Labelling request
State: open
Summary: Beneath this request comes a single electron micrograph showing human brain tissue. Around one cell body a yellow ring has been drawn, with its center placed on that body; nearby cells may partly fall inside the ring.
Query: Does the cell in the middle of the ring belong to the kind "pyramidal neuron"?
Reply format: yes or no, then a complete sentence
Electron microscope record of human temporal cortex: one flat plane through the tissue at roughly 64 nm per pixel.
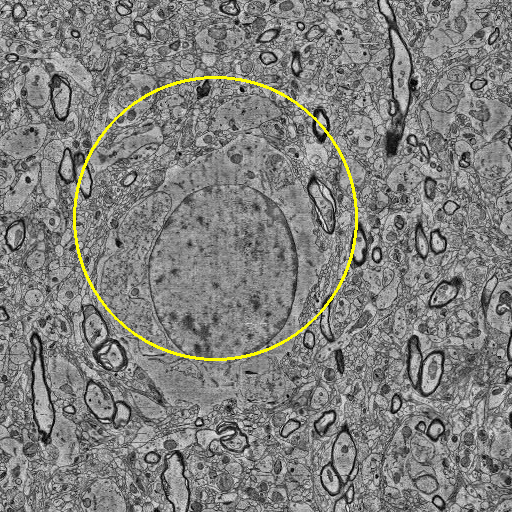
No, the cell sitting at the center of the ring in this picture is of a different kind.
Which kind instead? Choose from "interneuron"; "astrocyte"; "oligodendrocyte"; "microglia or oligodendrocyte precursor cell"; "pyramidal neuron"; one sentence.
The cell shown in the ring is an astrocyte.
